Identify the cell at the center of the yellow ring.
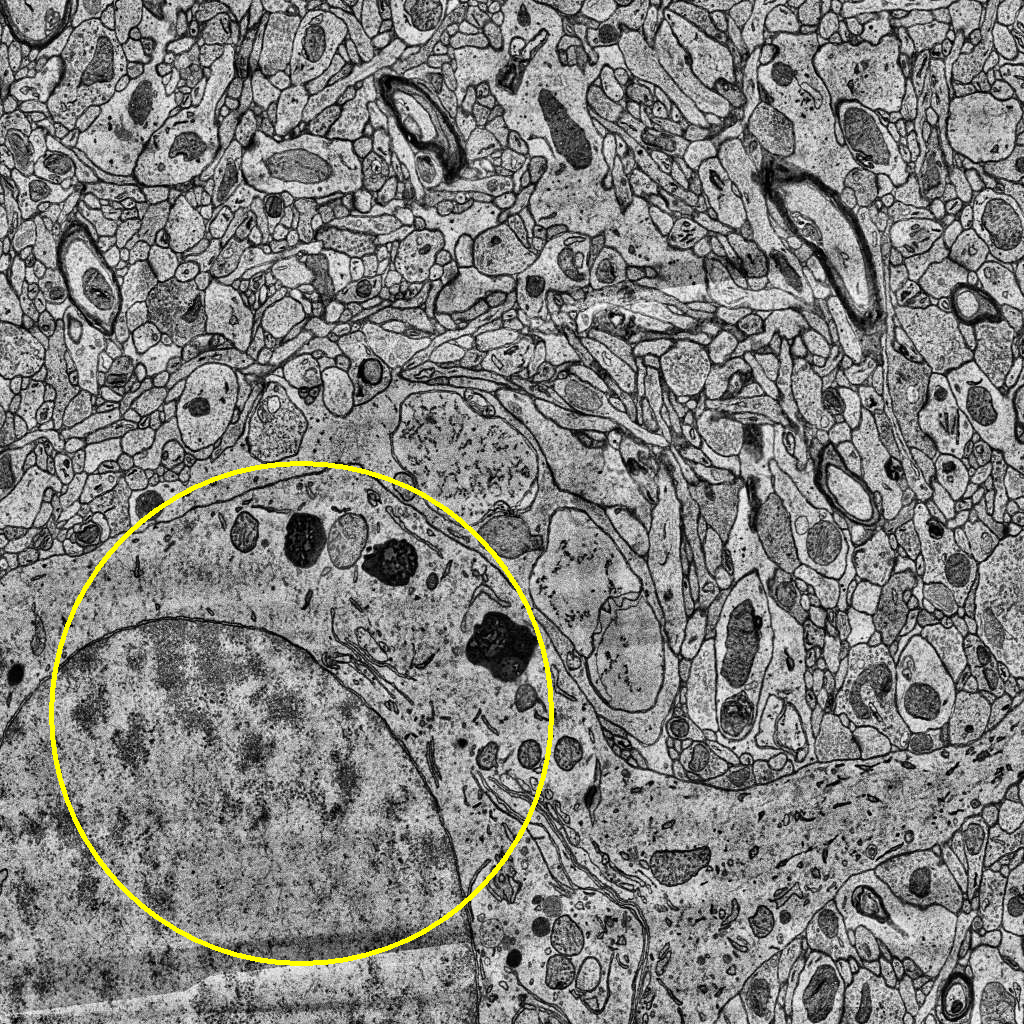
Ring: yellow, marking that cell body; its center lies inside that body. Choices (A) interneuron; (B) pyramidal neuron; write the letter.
B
